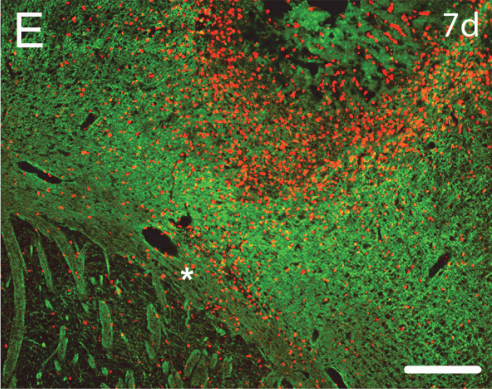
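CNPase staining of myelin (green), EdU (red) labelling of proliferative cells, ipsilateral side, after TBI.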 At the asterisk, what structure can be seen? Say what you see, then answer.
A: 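External capsule. The asterisk lies on a diagonal band of green fibres beneath the cortex. Separate fibre bundles lie below and to the left of the band.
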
